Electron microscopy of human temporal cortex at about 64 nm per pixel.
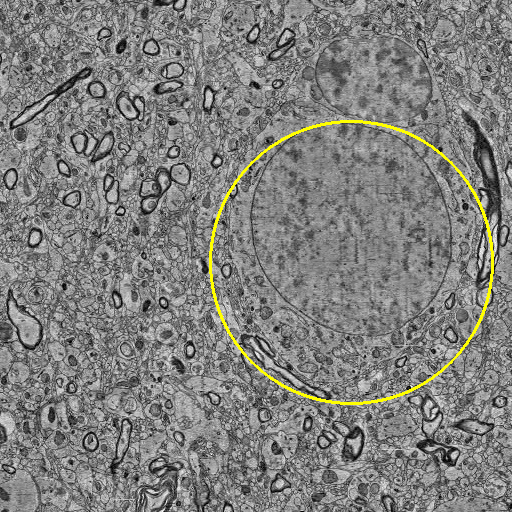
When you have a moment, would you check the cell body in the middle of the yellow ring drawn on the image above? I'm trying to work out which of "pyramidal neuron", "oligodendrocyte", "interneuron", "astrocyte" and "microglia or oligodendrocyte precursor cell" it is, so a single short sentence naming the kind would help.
This cell body belongs to a pyramidal neuron.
